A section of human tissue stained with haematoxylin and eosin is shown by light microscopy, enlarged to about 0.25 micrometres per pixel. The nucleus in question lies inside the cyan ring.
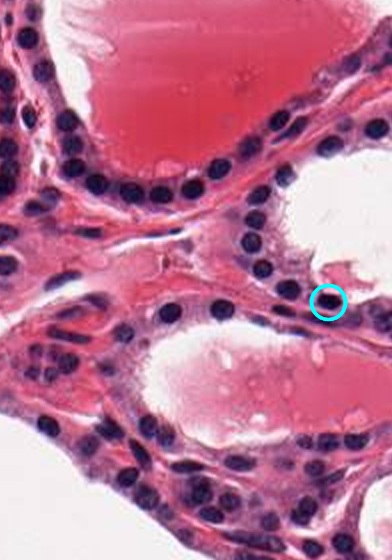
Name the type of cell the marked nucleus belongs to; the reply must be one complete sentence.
The owner of the marked nucleus is a thyroid follicular cell.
